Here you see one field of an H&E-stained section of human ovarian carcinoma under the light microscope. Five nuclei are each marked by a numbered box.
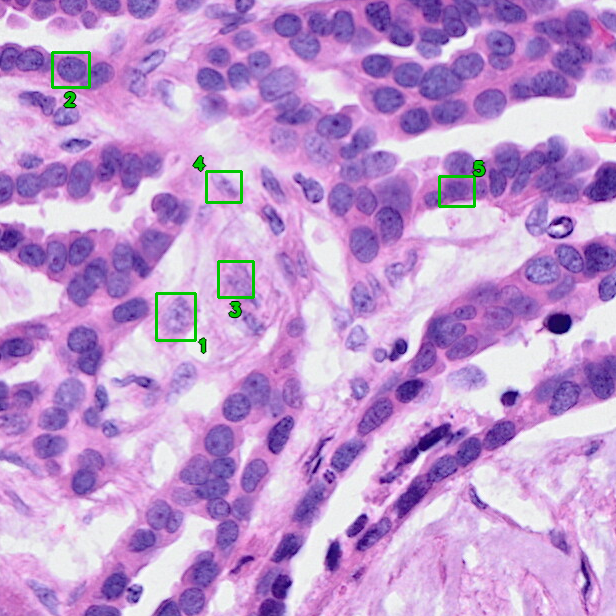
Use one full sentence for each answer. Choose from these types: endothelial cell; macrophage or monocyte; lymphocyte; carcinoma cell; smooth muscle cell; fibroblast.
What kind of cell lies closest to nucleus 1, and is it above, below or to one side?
The nearest nucleus is that of a carcinoma cell and lies to the left of nucleus 1.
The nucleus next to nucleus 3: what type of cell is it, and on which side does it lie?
The nearest one is a fibroblast, found below and to the right of nucleus 3.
